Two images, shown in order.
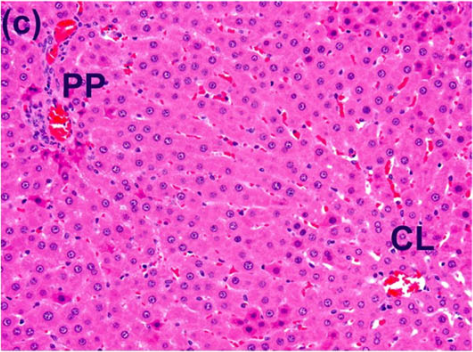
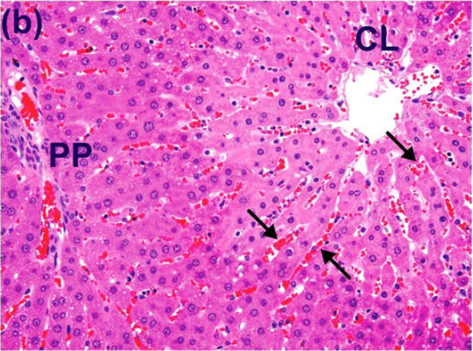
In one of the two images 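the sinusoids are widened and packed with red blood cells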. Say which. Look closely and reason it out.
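First image: sinusoids are narrow, with only scattered red cells. Second image: many sinusoids near the central vein are widened and filled with bright red blood cells.
Answer: the second image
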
